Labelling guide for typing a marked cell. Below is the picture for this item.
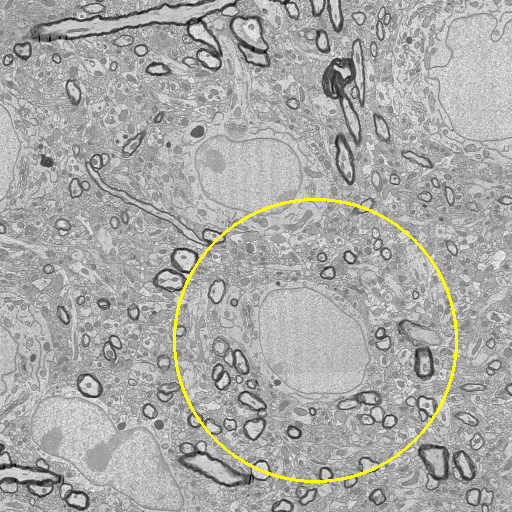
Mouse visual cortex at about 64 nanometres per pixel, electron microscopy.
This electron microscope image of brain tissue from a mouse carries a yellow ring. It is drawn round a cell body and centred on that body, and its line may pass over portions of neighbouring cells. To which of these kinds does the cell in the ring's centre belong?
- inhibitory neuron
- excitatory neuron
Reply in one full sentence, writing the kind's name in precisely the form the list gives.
Here we have an excitatory neuron at the centre of the yellow ring in the picture.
